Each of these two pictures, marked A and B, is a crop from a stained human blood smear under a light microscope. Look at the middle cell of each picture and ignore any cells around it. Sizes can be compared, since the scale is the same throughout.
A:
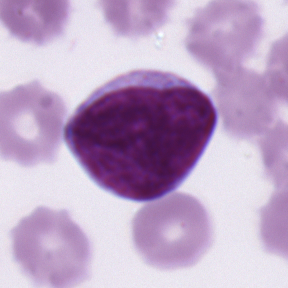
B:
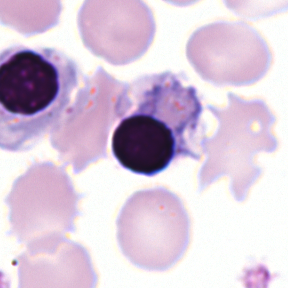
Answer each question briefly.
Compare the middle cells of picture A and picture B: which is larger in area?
A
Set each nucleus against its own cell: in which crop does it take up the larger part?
A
